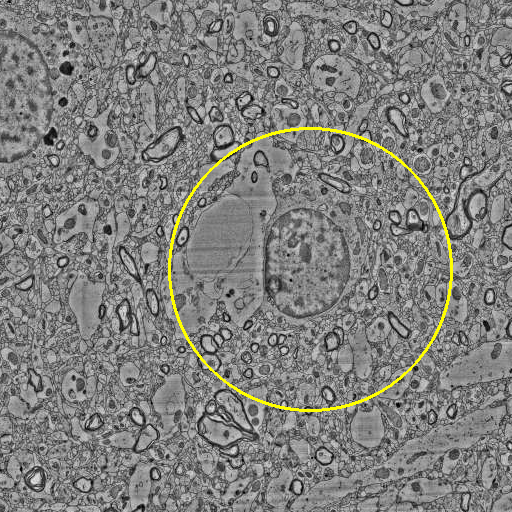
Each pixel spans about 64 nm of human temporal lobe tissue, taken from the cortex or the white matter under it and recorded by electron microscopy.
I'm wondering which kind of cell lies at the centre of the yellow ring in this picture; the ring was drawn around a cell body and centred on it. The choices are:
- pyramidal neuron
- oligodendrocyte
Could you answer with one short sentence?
At the centre of the ring lies an oligodendrocyte.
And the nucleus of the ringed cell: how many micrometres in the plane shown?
The nucleus is approximately 7 micrometers long by 5 micrometers wide in this plane.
